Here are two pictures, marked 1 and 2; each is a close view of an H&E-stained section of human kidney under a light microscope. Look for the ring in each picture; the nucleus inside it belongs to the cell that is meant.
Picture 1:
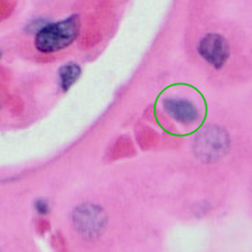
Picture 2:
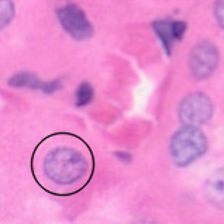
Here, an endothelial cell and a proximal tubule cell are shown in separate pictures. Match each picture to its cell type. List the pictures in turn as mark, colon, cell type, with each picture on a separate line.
1: endothelial cell
2: proximal tubule cell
